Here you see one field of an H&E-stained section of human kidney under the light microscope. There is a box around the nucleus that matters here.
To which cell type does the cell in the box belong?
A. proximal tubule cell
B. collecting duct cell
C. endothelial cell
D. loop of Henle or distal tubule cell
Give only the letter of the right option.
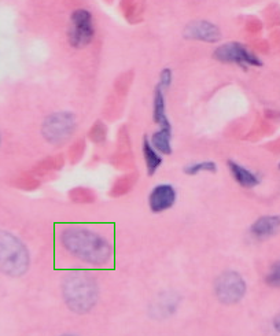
A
